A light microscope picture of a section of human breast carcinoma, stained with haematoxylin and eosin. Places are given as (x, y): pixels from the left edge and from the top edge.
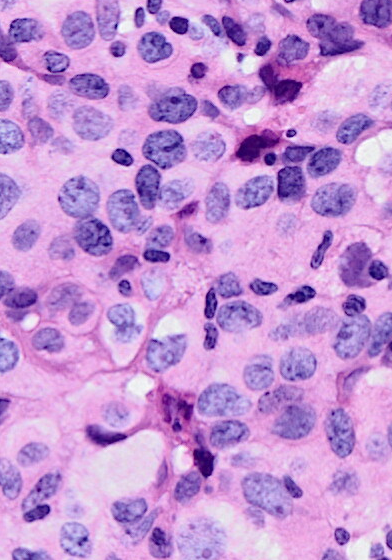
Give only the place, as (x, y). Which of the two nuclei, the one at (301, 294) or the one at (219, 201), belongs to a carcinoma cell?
(219, 201)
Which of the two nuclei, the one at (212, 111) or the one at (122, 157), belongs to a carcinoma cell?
(212, 111)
